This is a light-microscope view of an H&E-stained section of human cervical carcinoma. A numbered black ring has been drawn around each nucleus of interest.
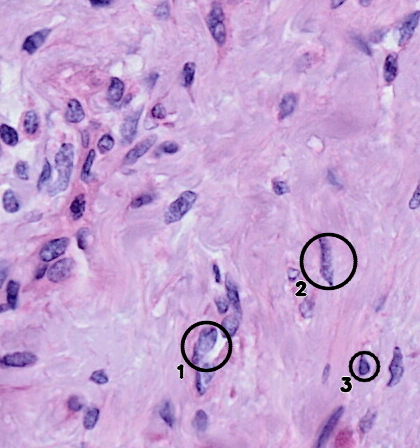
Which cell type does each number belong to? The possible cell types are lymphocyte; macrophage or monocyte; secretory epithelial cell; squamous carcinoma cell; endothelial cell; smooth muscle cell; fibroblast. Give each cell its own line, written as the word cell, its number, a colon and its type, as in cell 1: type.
cell 1: endothelial cell
cell 2: fibroblast
cell 3: fibroblast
